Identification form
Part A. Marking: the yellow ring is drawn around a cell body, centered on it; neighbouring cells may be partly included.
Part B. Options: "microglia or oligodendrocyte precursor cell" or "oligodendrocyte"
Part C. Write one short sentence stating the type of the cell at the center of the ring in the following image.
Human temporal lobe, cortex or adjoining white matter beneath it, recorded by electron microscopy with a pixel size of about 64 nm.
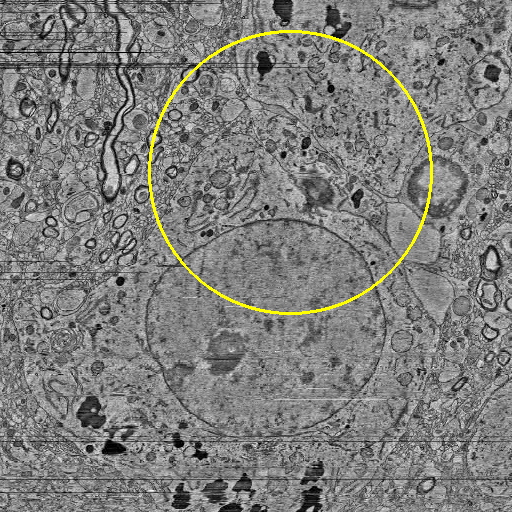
The center of the ring holds a microglial cell or oligodendrocyte precursor cell.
